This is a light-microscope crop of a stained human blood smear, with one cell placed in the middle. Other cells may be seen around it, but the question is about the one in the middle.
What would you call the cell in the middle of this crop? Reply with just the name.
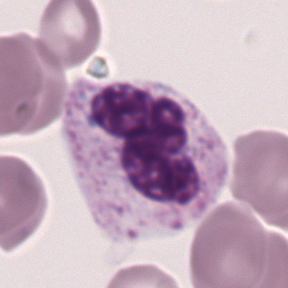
neutrophil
